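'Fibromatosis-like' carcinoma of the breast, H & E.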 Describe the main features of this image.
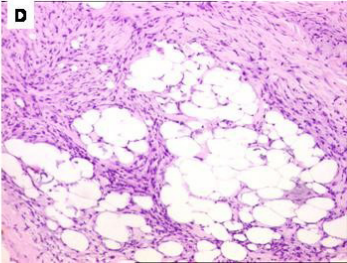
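Here the spindly tumor cells reach the fat: a group of large, empty, rounded fat cells sits in the middle, with only thin walls left between them. Streams of spindle cells with elongated nuclei surround the fat and run in between the fat cells at its edges.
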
